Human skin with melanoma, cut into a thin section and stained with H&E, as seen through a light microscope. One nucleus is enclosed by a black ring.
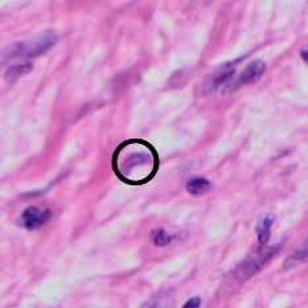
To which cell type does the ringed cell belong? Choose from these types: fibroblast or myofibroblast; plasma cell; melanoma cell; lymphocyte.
fibroblast or myofibroblast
